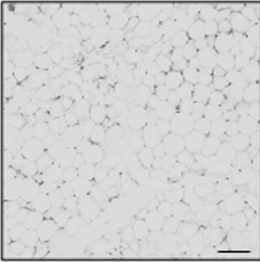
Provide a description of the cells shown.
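Adipose tissue made of tightly packed adipocytes forming a honeycomb pattern. Each adipocyte appears as a pale, empty-looking rounded to polygonal space bounded by a thin rim of cytoplasm. Small dark flattened nuclei sit at the cell margins, mostly at junctions between cells. The cells are relatively small and fairly uniform in size.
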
